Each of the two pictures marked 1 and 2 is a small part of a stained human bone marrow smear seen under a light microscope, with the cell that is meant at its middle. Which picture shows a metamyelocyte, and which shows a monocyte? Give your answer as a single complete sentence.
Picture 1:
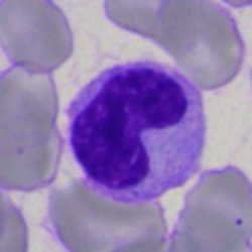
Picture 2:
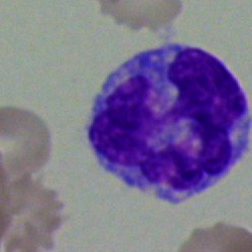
Picture 2 shows a monocyte, while picture 1 shows a metamyelocyte.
